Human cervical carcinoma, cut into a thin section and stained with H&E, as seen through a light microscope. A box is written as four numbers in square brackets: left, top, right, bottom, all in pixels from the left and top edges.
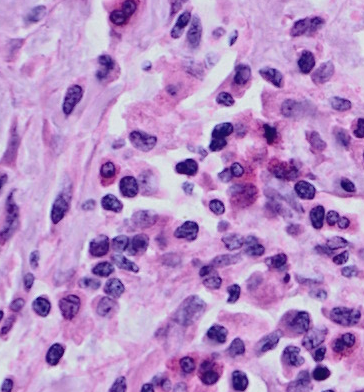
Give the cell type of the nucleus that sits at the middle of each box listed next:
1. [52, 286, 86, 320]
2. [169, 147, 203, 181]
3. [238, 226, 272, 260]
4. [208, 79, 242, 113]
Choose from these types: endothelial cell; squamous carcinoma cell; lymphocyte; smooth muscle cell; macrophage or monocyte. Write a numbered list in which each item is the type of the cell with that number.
1. macrophage or monocyte
2. lymphocyte
3. lymphocyte
4. lymphocyte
